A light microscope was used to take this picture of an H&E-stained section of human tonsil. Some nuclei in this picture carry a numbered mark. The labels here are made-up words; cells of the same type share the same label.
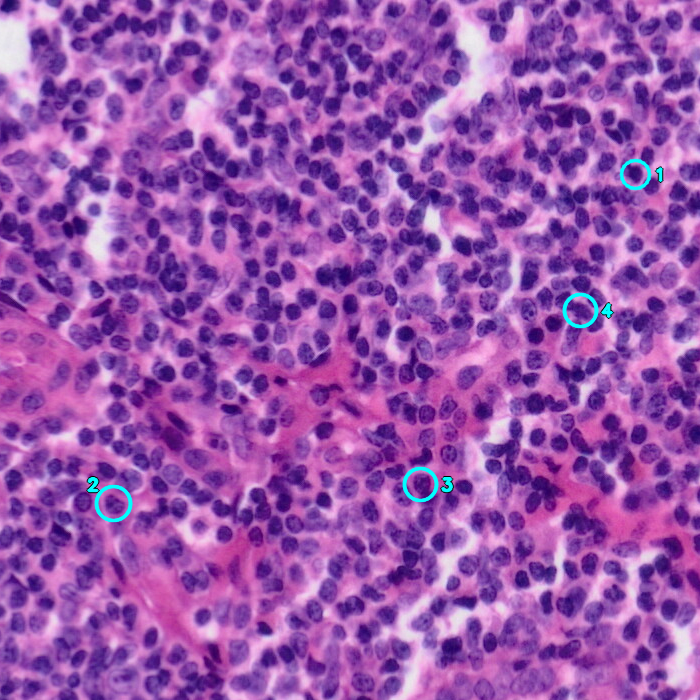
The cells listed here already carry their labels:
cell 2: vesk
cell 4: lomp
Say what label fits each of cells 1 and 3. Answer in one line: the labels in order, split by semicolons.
lomp; vesk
